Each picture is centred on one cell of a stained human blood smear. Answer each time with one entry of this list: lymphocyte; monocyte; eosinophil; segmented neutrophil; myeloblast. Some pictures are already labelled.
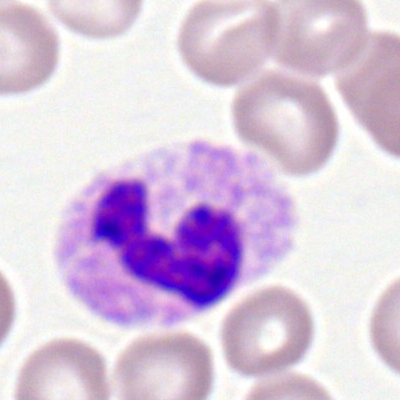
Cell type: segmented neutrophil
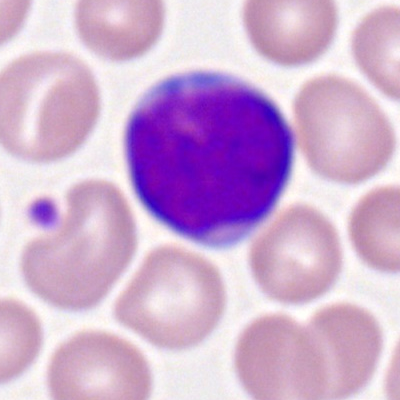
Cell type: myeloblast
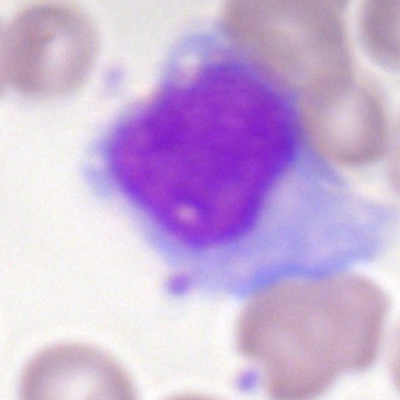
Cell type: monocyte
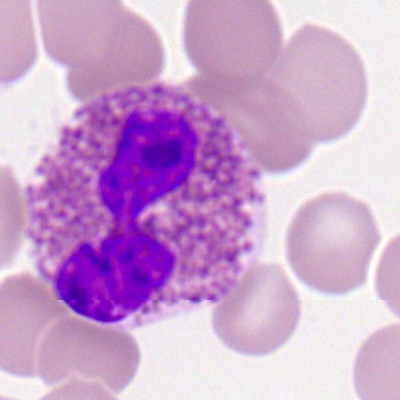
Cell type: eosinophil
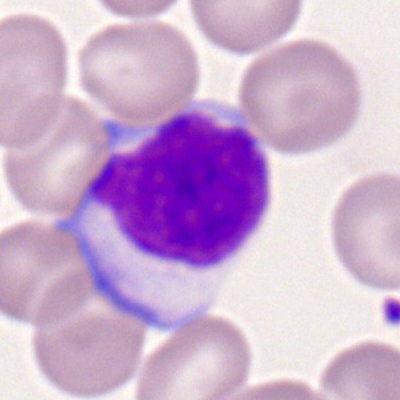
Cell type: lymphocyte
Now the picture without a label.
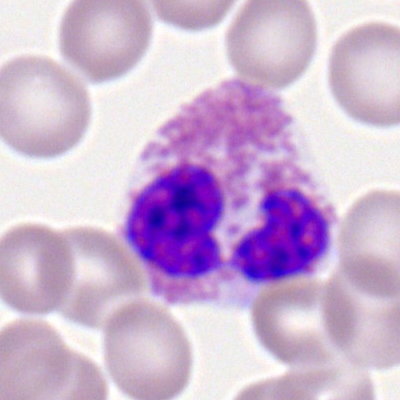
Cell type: eosinophil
